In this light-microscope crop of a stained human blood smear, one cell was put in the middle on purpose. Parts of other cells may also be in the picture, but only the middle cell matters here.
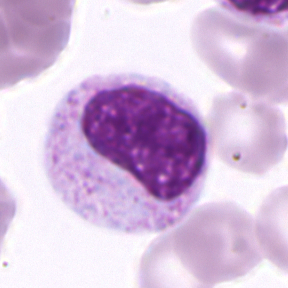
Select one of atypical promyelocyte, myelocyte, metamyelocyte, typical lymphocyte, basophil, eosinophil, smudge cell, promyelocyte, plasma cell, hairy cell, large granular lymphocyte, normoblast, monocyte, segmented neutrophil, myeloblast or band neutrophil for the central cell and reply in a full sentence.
Regarding the central cell, it is a metamyelocyte.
